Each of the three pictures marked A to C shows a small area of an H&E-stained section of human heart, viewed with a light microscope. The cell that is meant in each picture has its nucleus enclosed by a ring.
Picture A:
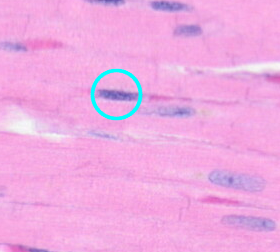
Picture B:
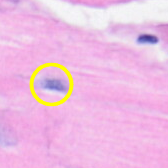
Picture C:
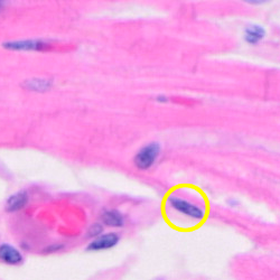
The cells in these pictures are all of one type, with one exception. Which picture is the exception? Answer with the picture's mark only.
C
